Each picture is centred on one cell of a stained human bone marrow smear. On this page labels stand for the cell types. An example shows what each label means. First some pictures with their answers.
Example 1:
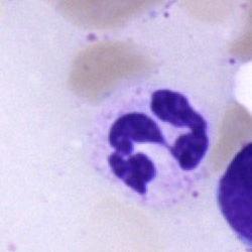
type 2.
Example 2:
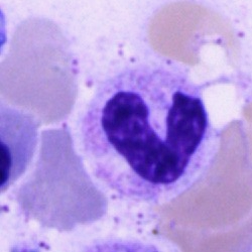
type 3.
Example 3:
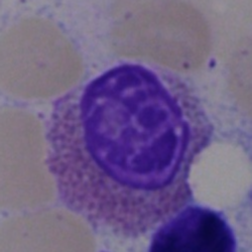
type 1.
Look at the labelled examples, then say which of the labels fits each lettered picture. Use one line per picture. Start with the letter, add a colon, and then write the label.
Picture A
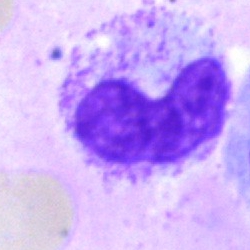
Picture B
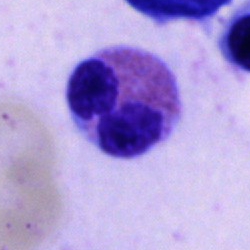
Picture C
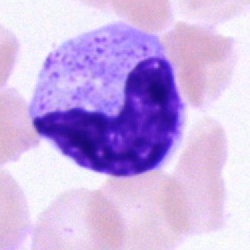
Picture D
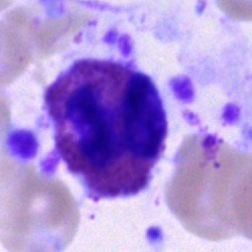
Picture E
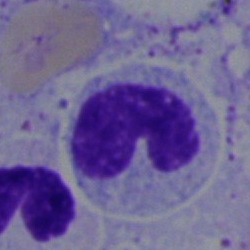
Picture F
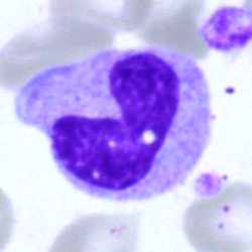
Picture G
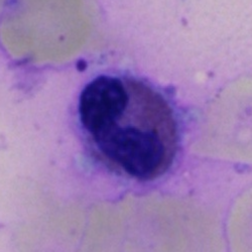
A: type 3.
B: type 1.
C: type 3.
D: type 1.
E: type 3.
F: type 3.
G: type 1.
